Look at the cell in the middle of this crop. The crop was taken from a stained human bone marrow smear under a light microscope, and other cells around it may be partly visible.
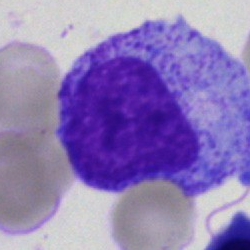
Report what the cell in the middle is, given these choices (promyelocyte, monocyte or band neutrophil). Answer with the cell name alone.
promyelocyte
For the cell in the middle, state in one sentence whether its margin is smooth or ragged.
The cell margin is rough and uneven, either ragged or drawn into projections.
